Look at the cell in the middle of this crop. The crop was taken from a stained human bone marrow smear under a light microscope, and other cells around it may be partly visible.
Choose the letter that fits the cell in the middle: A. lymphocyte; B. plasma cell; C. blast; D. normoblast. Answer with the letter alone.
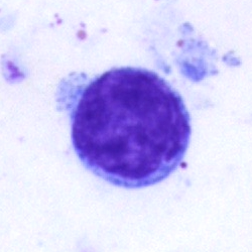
A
